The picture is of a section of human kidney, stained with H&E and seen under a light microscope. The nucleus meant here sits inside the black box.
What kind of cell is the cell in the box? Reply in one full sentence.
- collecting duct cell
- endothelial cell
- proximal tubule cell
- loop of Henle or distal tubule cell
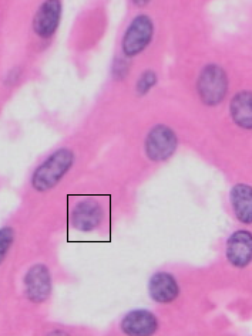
On this particular slide, the cell in the box is a loop of Henle or distal tubule cell.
